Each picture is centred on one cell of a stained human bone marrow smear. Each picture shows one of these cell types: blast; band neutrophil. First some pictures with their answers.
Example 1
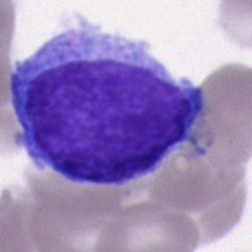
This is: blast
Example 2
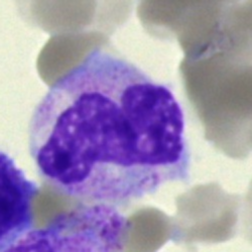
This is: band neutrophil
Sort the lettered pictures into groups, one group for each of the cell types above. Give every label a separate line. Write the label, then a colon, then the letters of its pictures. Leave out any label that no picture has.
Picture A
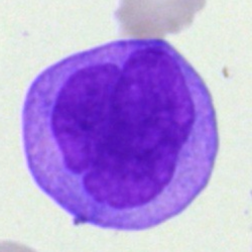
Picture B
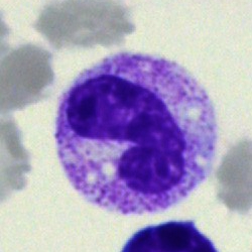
blast: A
band neutrophil: B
